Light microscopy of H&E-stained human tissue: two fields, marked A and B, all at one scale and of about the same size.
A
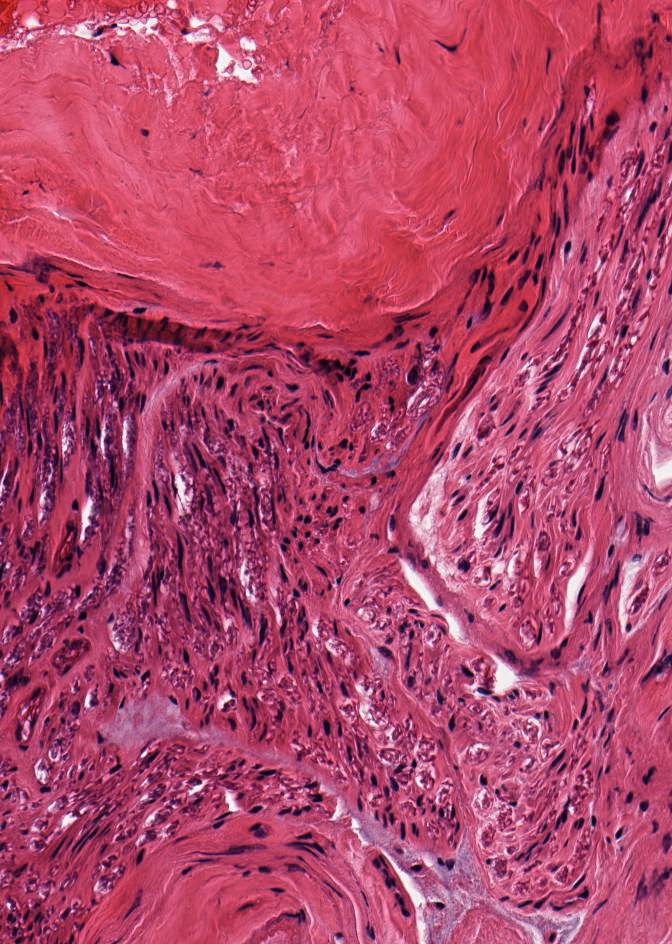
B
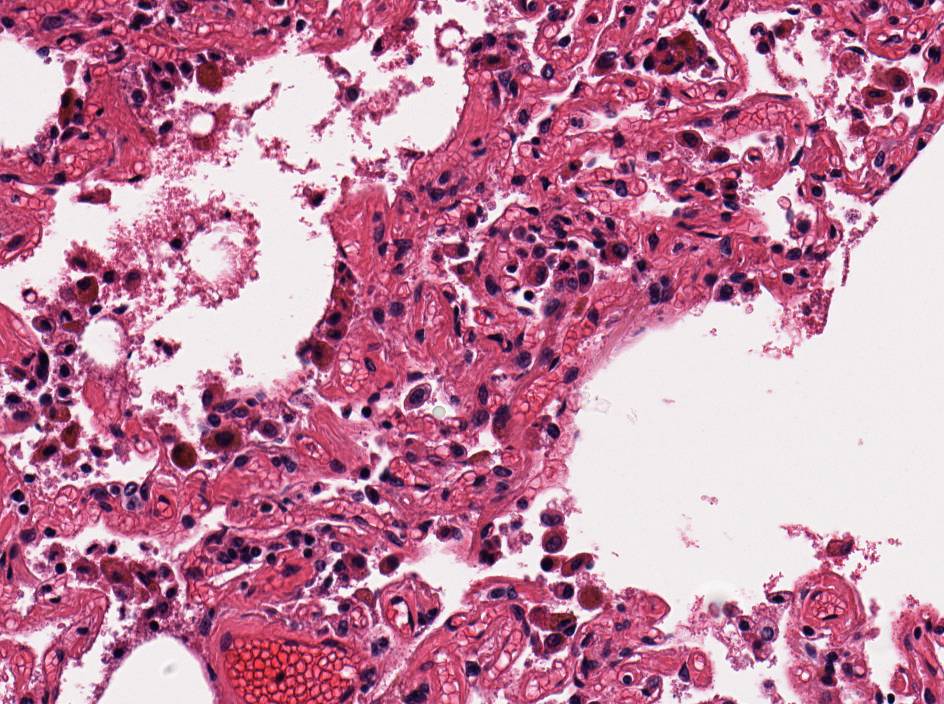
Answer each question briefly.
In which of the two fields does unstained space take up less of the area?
A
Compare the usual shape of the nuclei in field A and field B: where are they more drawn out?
A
